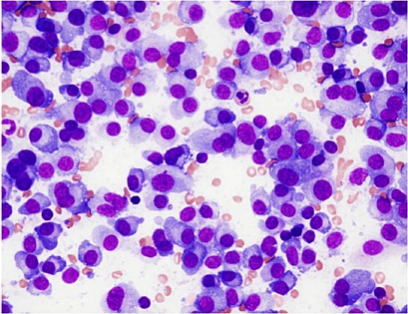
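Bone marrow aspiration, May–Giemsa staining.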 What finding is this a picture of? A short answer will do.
Increased plasma cells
